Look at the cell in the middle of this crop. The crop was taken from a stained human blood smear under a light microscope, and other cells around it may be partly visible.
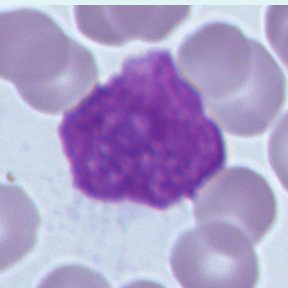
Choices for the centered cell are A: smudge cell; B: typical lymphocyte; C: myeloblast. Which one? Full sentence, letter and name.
Option A is correct; the cell in the middle is a smudge cell.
